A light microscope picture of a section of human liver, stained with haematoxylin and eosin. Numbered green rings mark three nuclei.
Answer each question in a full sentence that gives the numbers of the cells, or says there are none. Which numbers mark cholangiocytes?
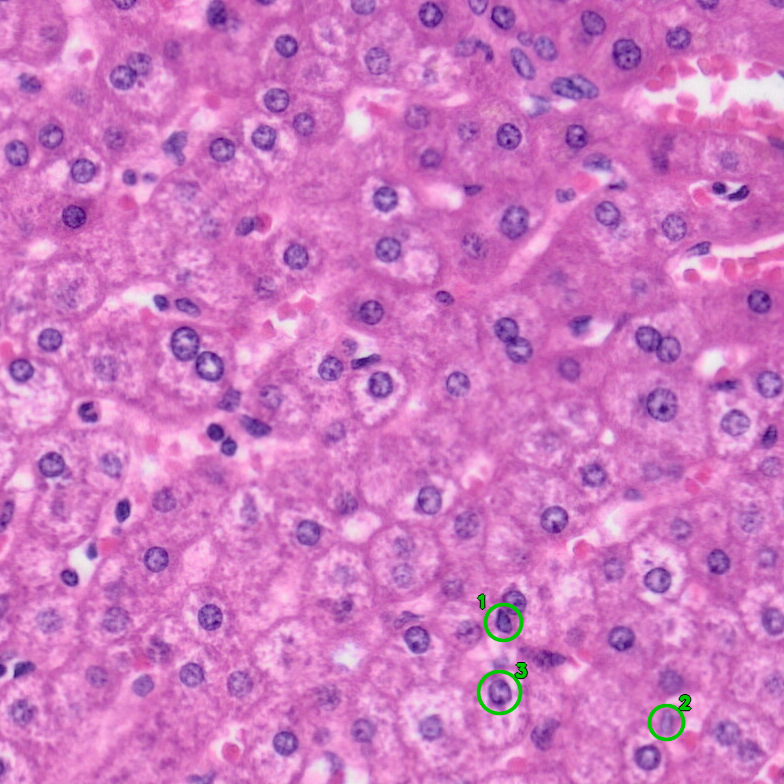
None of the numbered nuclei belong to cholangiocytes.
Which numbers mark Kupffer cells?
Cell 2 is a Kupffer cell, while every other numbered cell is not.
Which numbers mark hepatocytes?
Just one numbered cell is a hepatocyte, and that cell is number 3.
